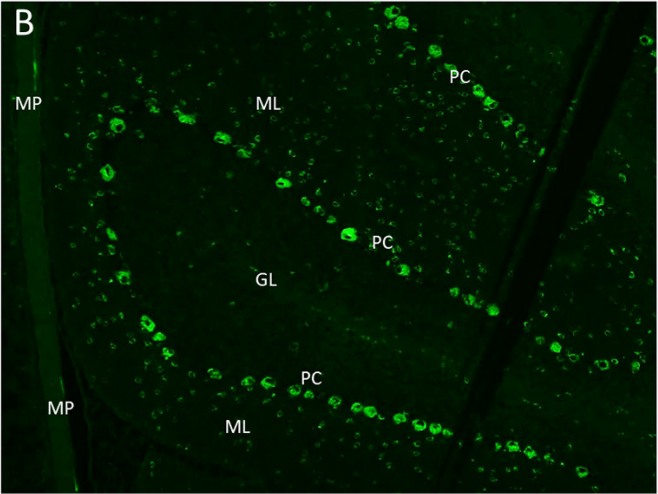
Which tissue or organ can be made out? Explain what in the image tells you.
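Large rounded cell bodies lie in a single row along a curved line. The layers follow folded, leaf-like folds of tissue. The answer: cerebellum.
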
